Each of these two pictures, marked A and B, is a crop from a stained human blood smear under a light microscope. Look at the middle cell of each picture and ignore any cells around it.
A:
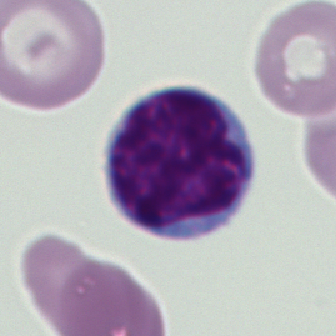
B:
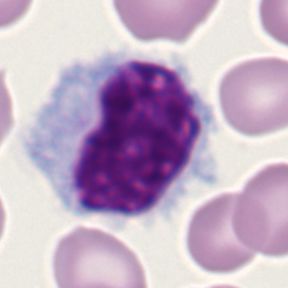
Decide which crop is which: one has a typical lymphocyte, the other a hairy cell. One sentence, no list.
Crop A displays a typical lymphocyte, and crop B displays a hairy cell.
